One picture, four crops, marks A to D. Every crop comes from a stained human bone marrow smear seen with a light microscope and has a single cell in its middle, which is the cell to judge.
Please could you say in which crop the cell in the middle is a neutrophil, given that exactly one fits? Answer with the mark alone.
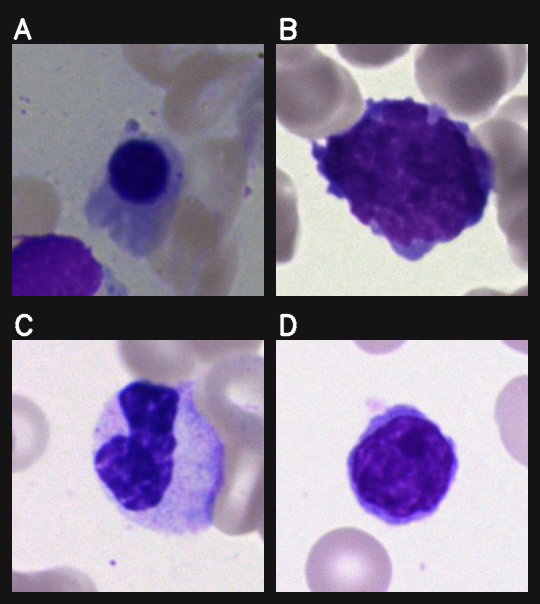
C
